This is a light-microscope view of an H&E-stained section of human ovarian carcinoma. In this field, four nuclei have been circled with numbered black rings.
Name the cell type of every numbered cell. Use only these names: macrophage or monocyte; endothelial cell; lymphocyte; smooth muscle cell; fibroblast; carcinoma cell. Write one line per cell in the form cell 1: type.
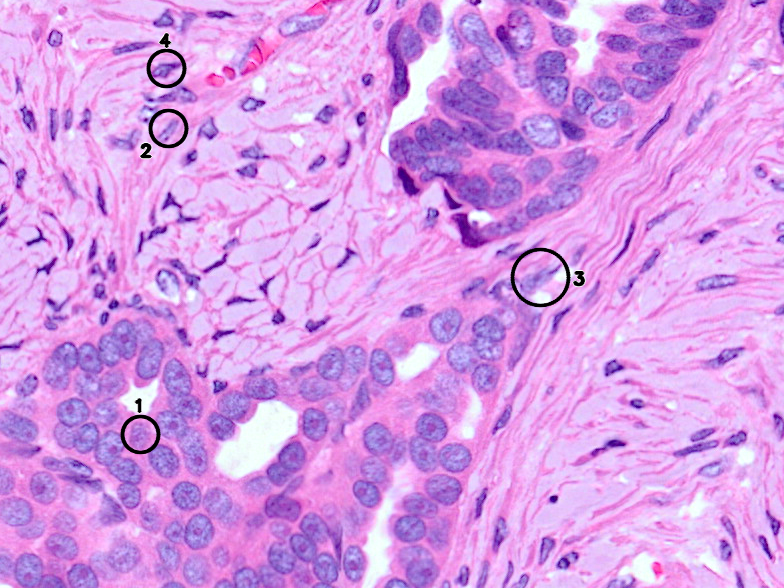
cell 1: carcinoma cell
cell 2: fibroblast
cell 3: fibroblast
cell 4: fibroblast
